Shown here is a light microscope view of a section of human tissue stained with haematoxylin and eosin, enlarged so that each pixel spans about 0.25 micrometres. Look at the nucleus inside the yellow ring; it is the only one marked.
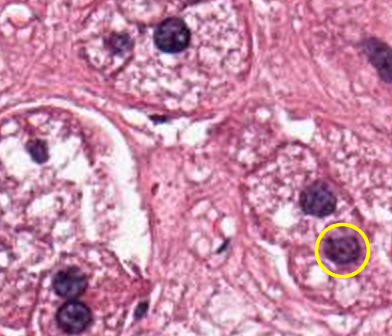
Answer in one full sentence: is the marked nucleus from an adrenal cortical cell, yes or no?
Yes, the marked nucleus is present within an adrenal cortical cell.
